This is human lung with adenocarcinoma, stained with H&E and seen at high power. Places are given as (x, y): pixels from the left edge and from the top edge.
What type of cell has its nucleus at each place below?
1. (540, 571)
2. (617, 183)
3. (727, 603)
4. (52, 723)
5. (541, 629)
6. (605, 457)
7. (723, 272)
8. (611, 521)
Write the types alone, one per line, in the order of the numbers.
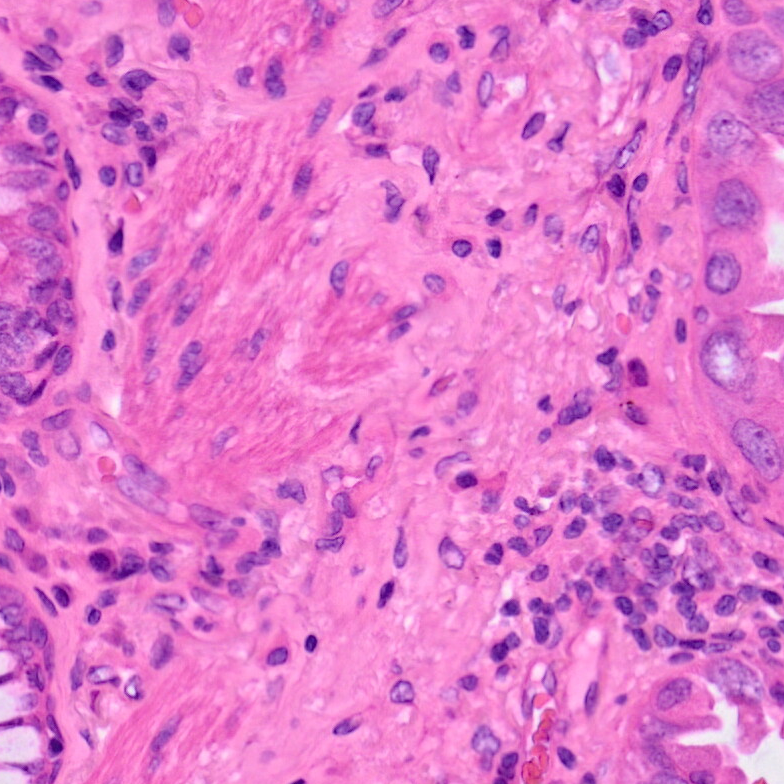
lymphocyte
plasma cell
lymphocyte
ciliated epithelial cell
lymphocyte
lymphocyte
carcinoma cell
lymphocyte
